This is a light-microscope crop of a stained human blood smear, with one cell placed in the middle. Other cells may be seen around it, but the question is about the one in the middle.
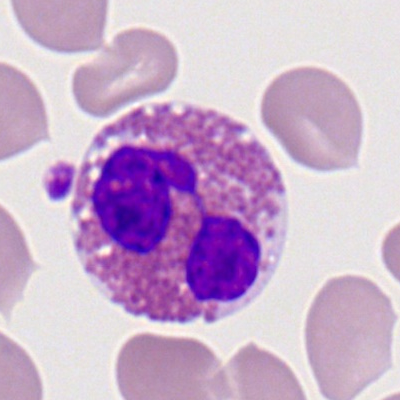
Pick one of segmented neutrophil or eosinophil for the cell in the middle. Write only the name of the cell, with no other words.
eosinophil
